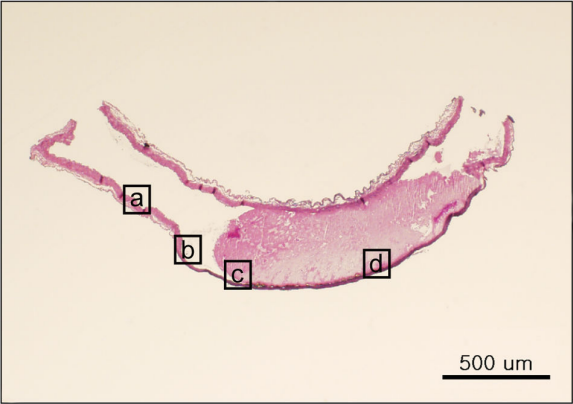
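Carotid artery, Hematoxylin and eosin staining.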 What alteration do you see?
Thrombotic occlusion.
